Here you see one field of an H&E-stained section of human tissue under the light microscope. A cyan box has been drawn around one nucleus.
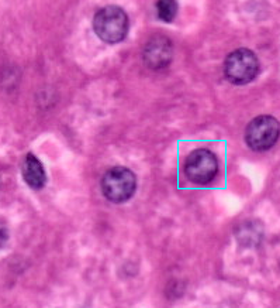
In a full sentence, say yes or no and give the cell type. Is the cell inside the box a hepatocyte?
Yes, the cell inside the box is accurately described as a hepatocyte.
